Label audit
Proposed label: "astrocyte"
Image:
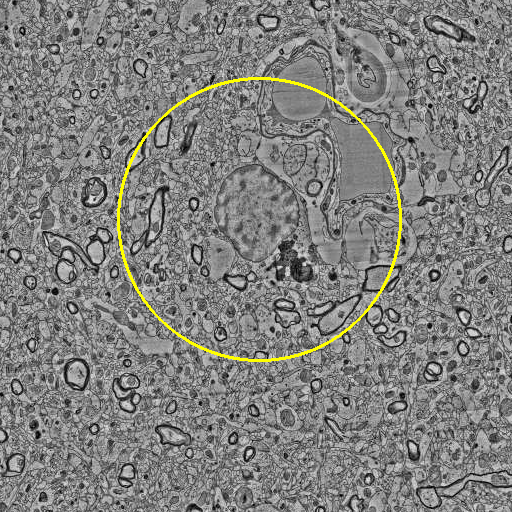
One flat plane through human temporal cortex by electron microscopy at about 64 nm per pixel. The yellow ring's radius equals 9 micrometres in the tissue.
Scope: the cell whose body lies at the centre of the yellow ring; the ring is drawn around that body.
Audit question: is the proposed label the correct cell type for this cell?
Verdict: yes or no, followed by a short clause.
No, this cell is of another type.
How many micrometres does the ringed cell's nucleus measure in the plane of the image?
About 6 micrometres across in this plane.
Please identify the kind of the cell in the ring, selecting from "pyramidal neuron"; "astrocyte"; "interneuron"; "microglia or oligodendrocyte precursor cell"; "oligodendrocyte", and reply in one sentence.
The cell that the ring is centred on is an oligodendrocyte.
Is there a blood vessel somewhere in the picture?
Yes, there is a blood vessel.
